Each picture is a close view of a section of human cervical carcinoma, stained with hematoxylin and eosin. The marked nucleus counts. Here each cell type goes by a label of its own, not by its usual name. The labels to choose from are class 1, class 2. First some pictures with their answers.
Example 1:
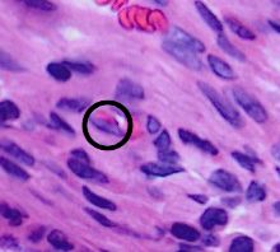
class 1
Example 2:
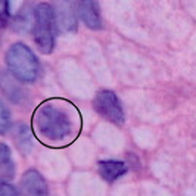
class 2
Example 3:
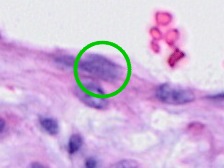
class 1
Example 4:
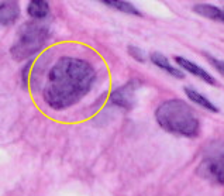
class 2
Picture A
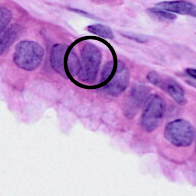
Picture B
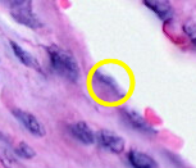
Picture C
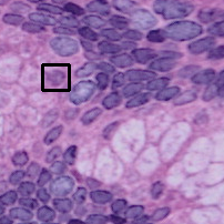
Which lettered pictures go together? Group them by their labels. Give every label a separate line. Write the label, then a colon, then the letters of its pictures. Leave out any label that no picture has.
class 1: B
class 2: A, C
